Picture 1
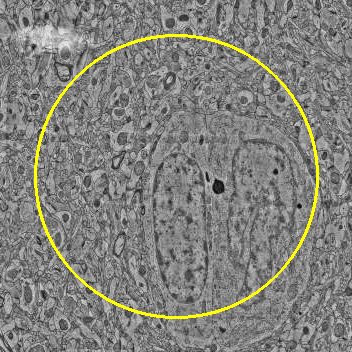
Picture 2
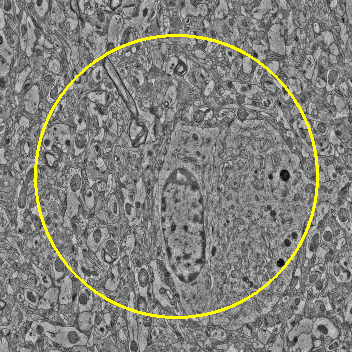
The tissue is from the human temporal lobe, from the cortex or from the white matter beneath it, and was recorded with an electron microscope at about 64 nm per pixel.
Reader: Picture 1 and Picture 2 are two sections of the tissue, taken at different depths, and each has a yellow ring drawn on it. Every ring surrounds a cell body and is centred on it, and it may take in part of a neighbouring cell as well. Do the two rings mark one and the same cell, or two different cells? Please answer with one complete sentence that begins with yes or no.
Yes, the second ring marks the same cell as the first.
